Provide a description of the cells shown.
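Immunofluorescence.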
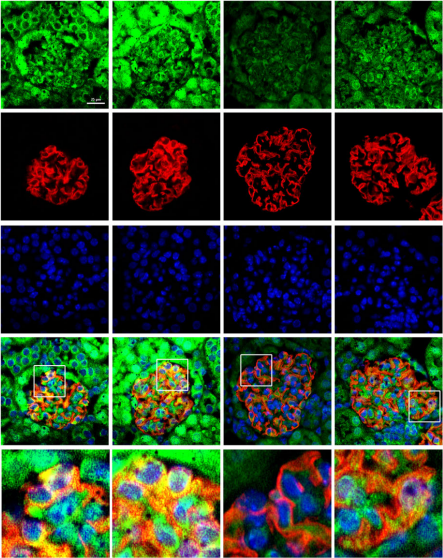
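Renal glomeruli, shown across four columns, with red staining tracing the lobulated capillary loops of each tuft. The tufts are ringed by tubular epithelial cells with granular green cytoplasm and blue nuclei. In the merged and enlarged views, green overlaps with red within the tufts. The green is weaker in the third column.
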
